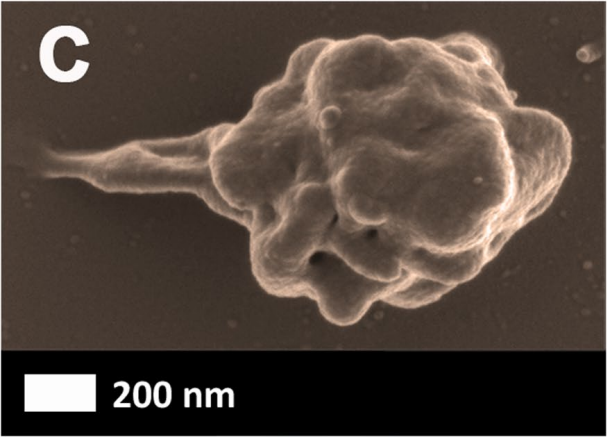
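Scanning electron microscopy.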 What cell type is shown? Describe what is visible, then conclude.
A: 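Surface is lumpy and lobed rather than smooth. A long thin tapering extension projects from one side.
Conclusion: platelet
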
